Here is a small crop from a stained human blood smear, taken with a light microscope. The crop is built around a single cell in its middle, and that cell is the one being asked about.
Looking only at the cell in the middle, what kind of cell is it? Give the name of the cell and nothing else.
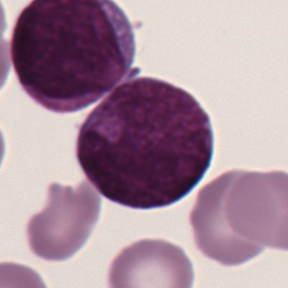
myeloblast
